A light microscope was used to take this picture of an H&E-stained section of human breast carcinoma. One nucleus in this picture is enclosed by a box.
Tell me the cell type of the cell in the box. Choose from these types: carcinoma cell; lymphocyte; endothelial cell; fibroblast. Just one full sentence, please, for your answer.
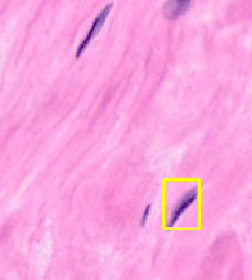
The category to which the cell in the box belongs is that of a fibroblast.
